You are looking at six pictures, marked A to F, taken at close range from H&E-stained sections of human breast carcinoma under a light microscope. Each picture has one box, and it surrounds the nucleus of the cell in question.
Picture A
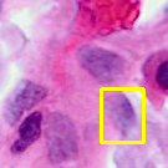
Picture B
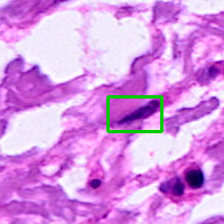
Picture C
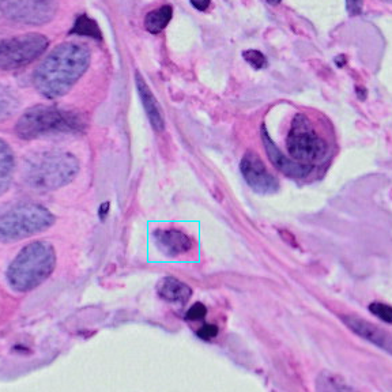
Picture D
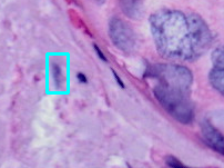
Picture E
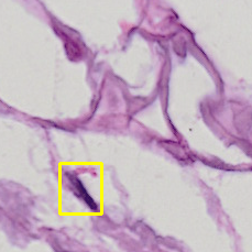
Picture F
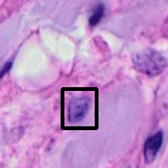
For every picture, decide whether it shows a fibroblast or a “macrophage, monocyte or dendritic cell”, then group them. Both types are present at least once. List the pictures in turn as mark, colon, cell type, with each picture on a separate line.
A: fibroblast
B: fibroblast
C: macrophage, monocyte or dendritic cell
D: fibroblast
E: fibroblast
F: macrophage, monocyte or dendritic cell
